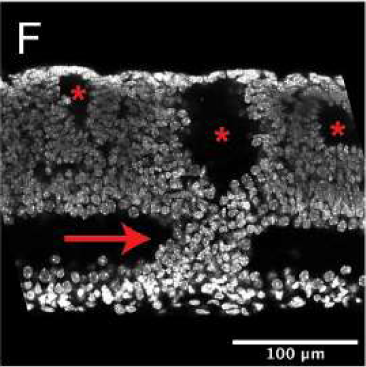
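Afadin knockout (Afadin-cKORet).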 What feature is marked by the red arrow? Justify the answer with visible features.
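Columnar-like structures of displaced neurons. A column of nuclei crosses the dark nucleus-poor band. The column joins the outer nuclear band to the inner row of nuclei.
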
